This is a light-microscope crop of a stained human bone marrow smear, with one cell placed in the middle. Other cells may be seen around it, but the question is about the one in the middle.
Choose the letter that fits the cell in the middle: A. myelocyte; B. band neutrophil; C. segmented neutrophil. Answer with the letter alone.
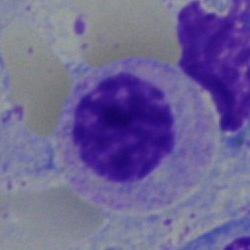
A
